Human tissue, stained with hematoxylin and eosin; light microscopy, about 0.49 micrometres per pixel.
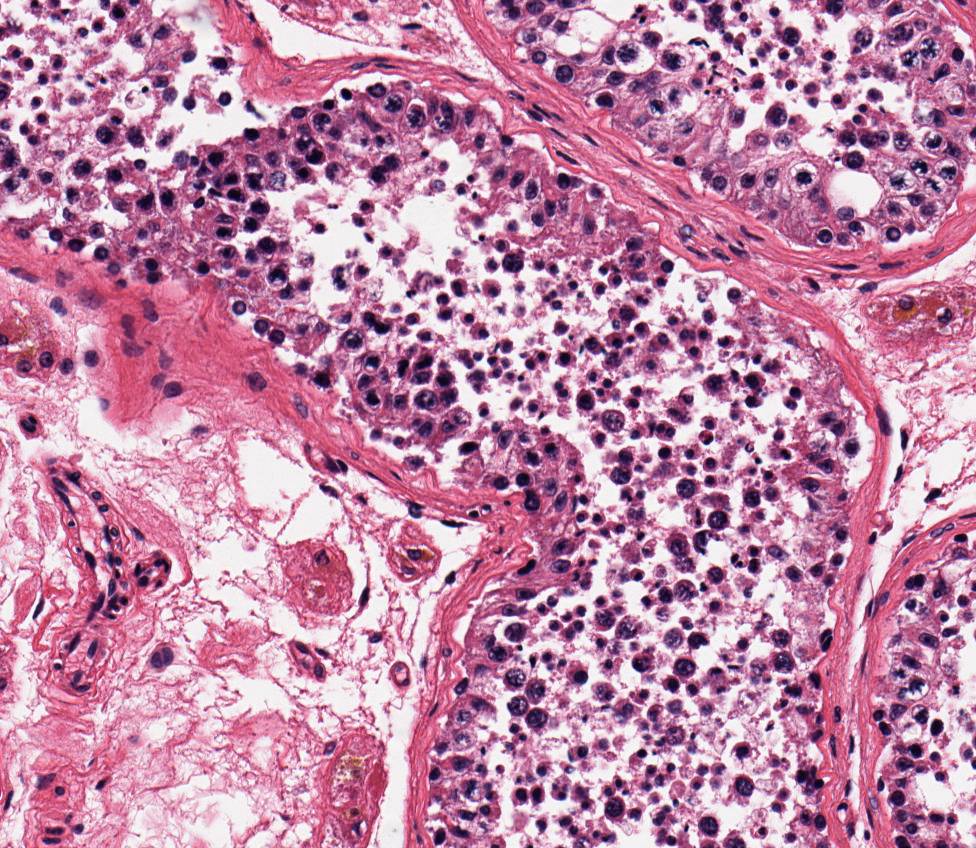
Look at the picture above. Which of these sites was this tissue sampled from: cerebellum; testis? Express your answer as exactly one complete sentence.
The sample was taken from the testis.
